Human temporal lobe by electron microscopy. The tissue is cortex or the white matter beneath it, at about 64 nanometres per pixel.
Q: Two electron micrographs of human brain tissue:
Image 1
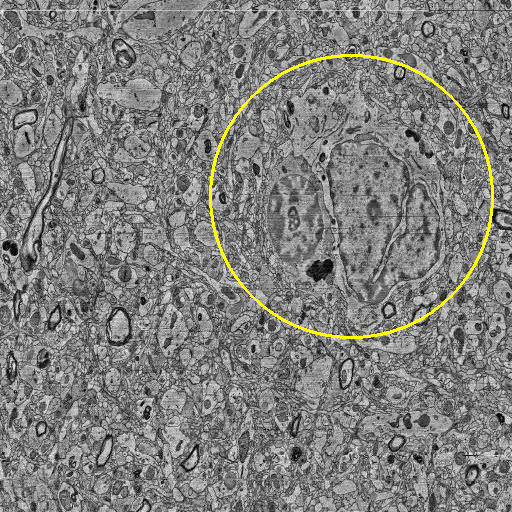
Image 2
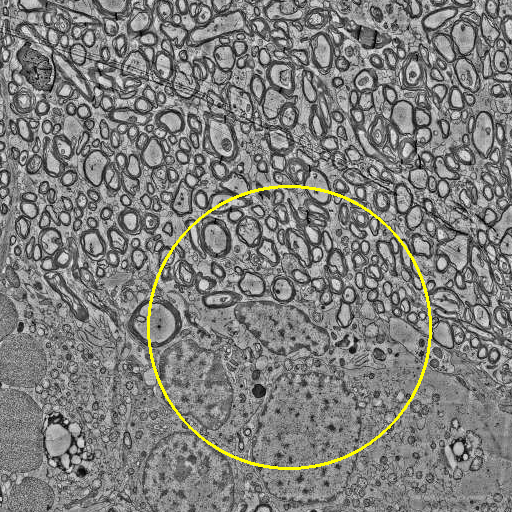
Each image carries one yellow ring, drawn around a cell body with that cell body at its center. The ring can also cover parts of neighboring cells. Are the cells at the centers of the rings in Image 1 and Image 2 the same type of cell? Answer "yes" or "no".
yes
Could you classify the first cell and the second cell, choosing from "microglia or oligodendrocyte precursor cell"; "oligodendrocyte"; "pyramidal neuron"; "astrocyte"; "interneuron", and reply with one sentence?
Each cell at the centre of a ring is a microglial cell or oligodendrocyte precursor cell.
